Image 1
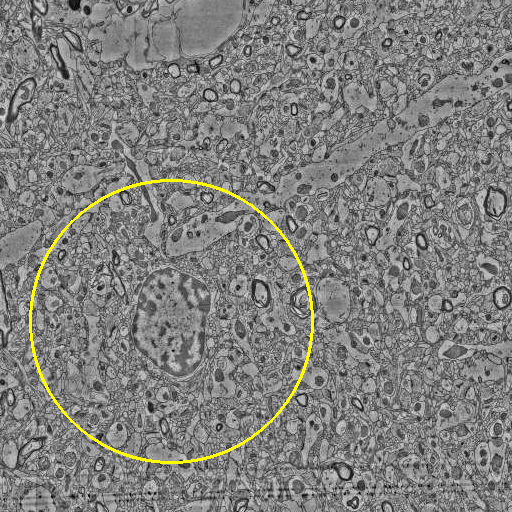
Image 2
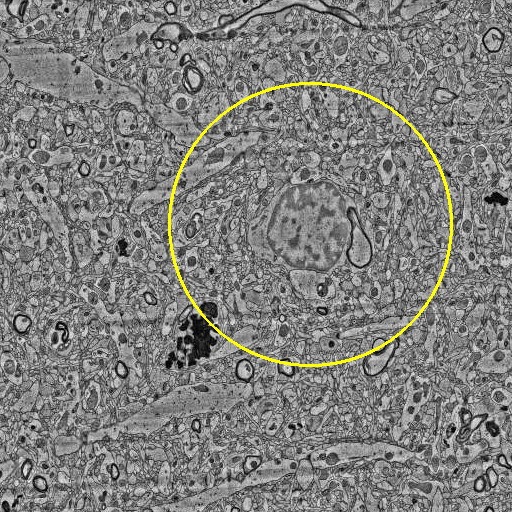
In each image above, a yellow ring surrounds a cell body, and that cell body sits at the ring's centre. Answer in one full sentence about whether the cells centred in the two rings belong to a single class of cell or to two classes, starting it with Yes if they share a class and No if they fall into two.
No, the cells centred in the two yellow rings belong to two classes of cell.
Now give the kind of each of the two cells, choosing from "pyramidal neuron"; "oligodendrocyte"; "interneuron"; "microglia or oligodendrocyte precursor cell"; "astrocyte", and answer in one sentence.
The cell in the first picture is a microglial cell or oligodendrocyte precursor cell, and the cell in the second is an oligodendrocyte.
